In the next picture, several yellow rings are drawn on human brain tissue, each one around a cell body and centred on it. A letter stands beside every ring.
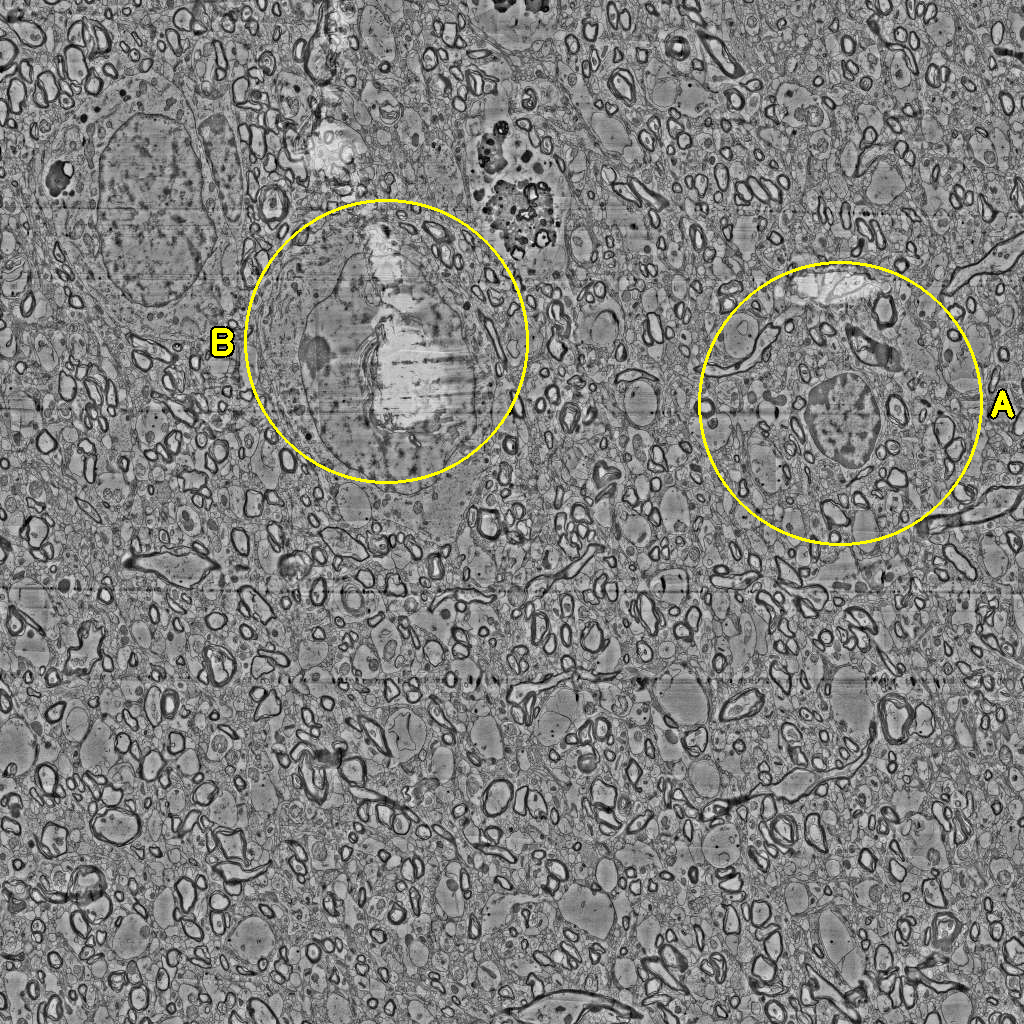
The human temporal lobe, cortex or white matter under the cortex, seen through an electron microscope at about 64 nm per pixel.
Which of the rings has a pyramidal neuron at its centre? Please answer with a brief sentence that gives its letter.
Ring B has it at its centre.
